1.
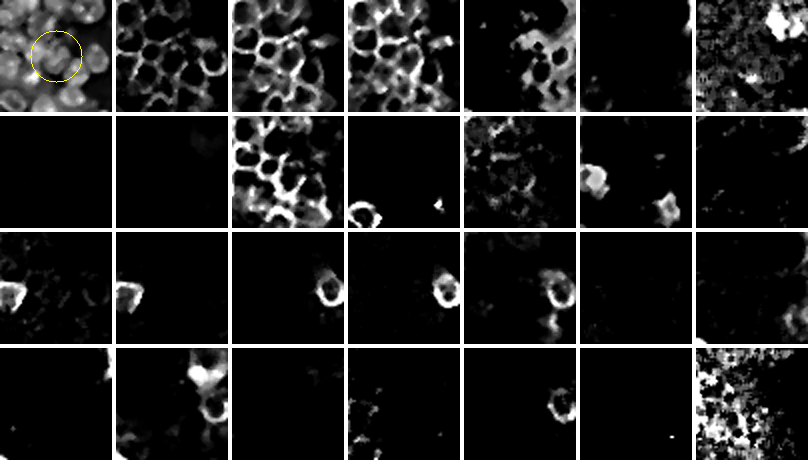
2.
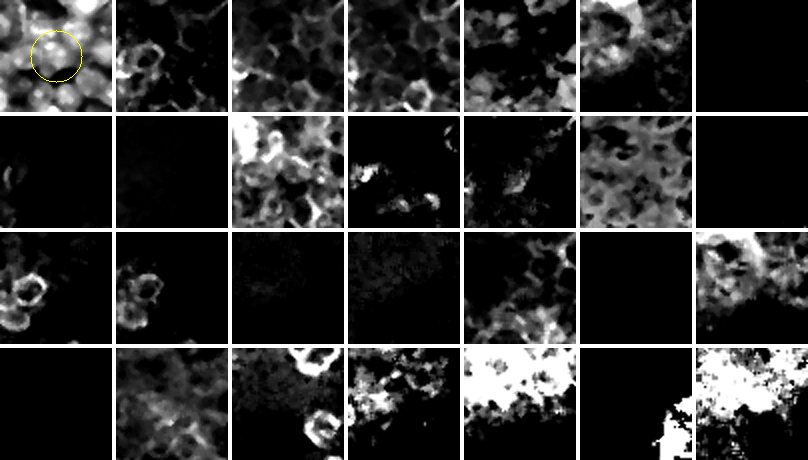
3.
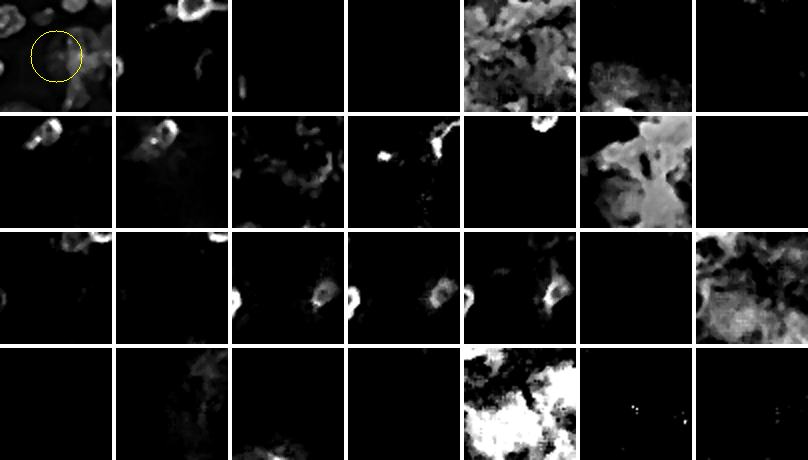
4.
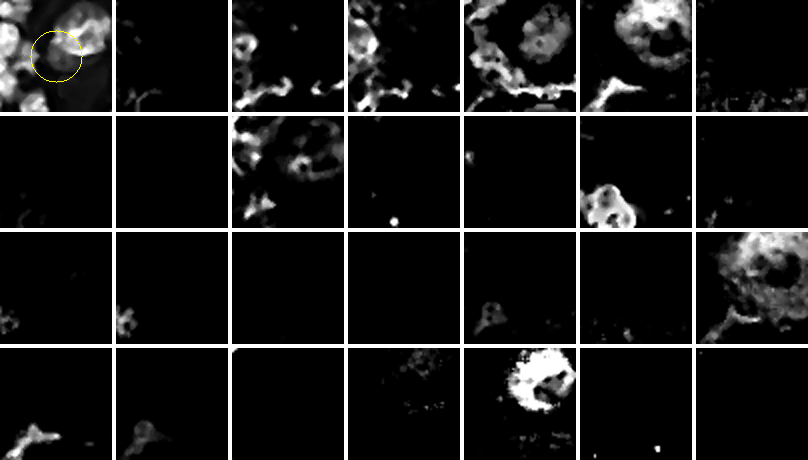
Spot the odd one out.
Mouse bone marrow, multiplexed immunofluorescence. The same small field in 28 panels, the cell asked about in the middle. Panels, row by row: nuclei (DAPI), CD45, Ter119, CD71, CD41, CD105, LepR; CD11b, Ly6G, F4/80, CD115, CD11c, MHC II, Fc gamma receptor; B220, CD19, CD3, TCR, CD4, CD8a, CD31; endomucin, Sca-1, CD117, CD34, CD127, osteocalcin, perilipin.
Picture 1 (an erythroblast among common lymphoid progenitors).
